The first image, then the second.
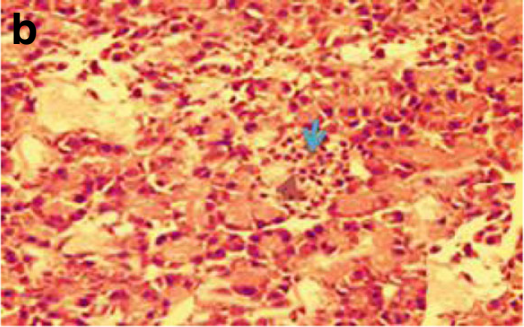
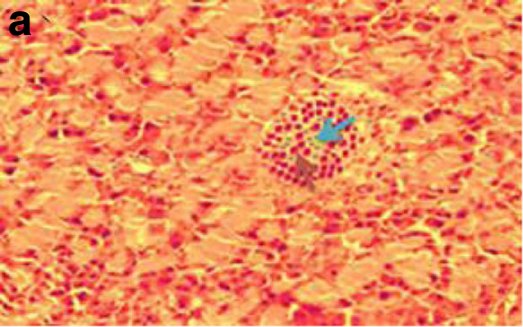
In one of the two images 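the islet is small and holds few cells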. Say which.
The first image.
